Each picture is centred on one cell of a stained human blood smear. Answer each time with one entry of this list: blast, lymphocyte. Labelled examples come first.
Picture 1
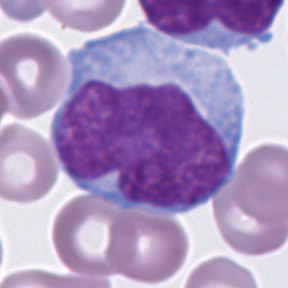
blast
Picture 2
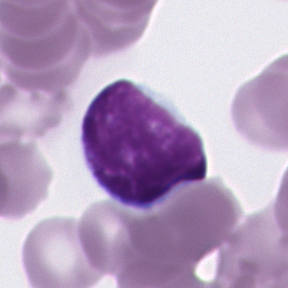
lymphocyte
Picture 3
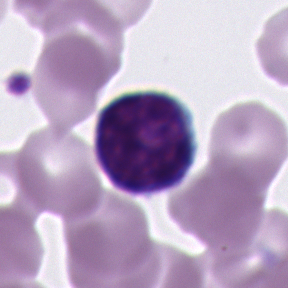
lymphocyte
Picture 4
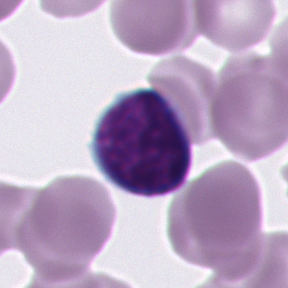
lymphocyte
